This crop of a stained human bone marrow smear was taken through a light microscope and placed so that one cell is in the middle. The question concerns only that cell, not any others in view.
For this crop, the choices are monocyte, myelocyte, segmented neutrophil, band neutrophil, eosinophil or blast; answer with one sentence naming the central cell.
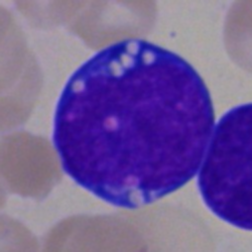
The central element of this crop is a cell, namely a blast.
